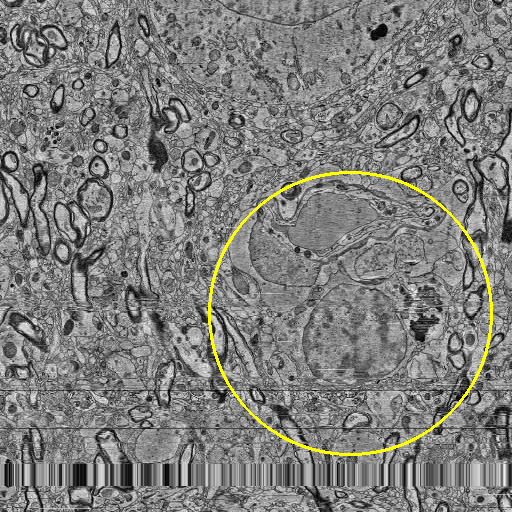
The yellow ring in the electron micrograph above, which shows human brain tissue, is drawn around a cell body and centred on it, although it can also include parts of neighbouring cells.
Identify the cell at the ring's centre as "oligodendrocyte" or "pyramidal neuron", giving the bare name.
oligodendrocyte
